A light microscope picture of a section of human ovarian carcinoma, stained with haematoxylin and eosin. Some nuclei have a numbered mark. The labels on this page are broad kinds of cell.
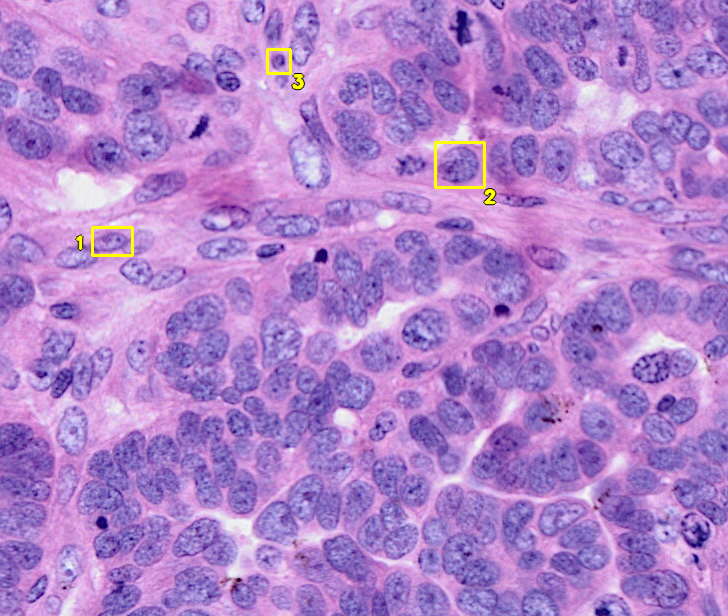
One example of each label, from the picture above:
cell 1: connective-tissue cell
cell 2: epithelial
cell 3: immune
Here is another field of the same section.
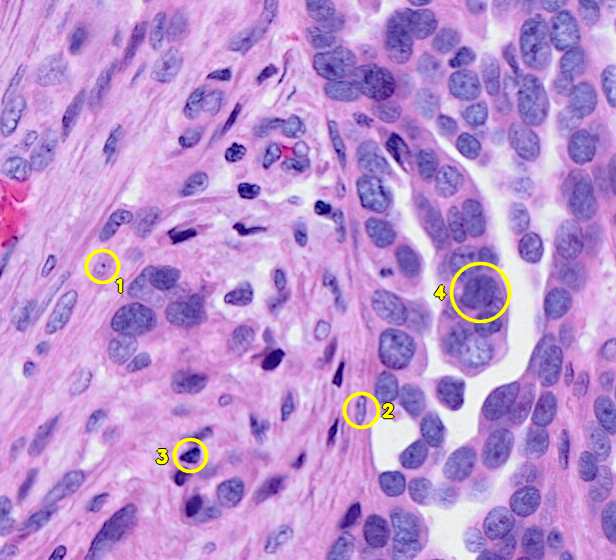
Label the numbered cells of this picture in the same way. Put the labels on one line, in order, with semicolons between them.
connective-tissue cell; connective-tissue cell; immune; epithelial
